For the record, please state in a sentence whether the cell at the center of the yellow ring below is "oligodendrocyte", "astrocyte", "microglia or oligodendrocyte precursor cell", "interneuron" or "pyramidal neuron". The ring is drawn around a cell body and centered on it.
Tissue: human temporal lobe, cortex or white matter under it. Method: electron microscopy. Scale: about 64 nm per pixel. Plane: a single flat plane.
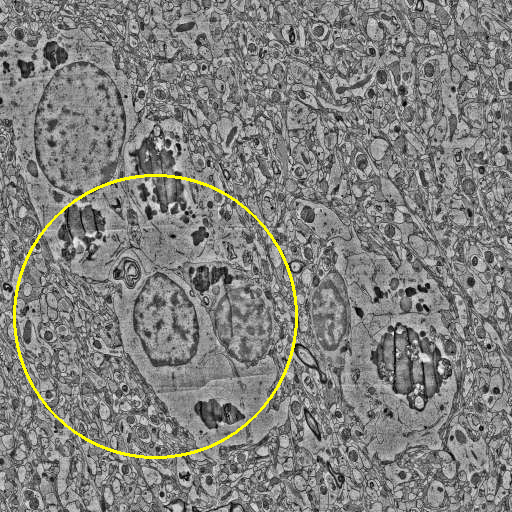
The cell at the ring's center is an astrocyte.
